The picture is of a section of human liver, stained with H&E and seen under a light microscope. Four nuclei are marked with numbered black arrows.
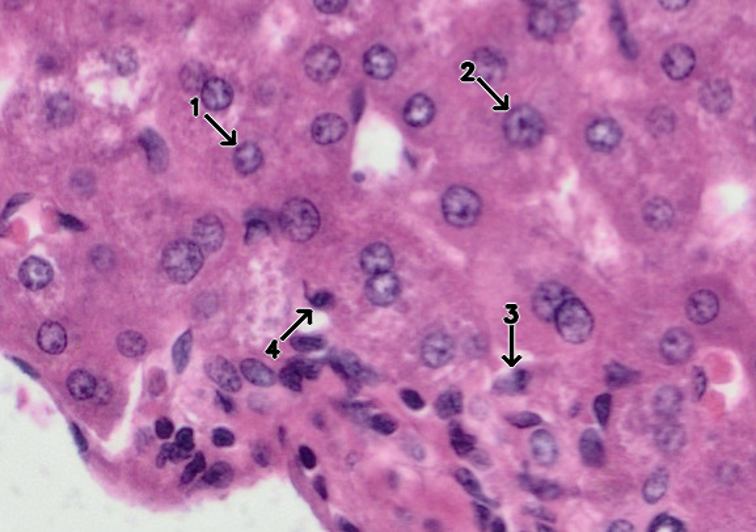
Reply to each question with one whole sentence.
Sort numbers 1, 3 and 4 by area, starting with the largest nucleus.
From largest to smallest, the order is 1, 3, 4.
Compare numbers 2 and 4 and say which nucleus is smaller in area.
Nucleus 4 is the smaller one; nucleus 2 covers about 4 times its area.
